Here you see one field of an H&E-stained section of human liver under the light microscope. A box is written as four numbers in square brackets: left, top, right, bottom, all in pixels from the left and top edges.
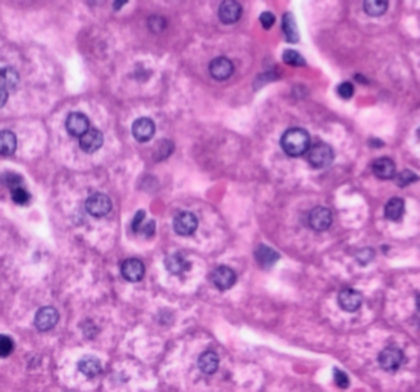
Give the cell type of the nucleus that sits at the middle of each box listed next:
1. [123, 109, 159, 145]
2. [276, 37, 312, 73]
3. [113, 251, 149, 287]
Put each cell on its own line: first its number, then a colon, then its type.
1: hepatocyte
2: lymphocyte
3: hepatocyte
